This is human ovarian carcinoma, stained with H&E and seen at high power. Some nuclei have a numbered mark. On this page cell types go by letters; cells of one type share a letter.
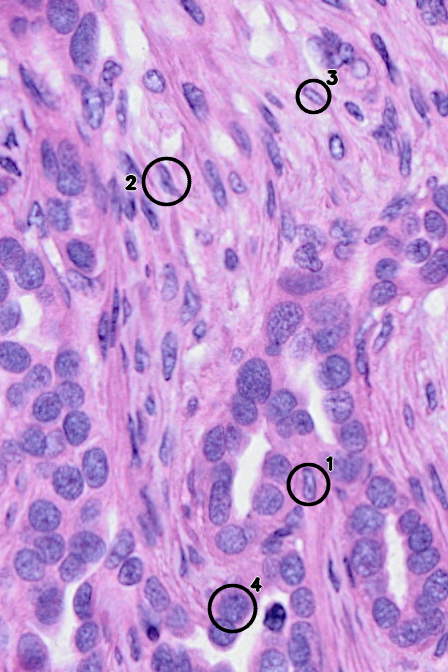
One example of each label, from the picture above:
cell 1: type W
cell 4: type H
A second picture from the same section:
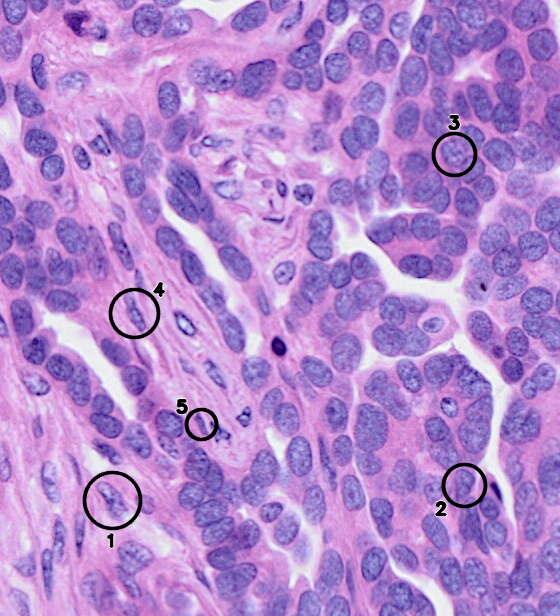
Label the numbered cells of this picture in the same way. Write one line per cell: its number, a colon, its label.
1: type W
2: type H
3: type H
4: type W
5: type W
